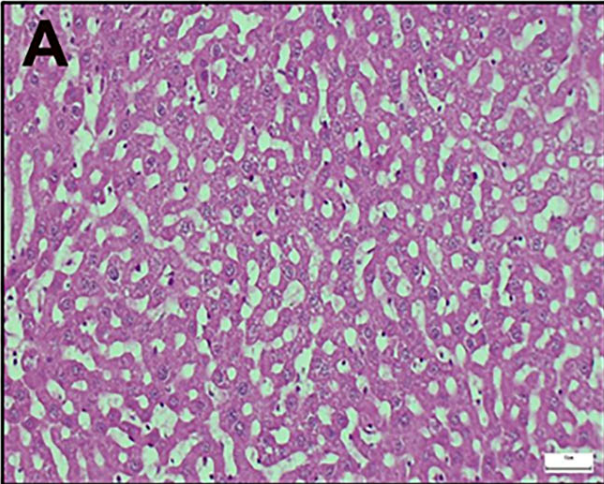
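Normal liver tissue made of hepatocytes arranged in anastomosing cords. Pale sinusoidal spaces separate the cords. The hepatocytes are polygonal, with pink, finely granular cytoplasm and round nuclei, many with a visible nucleolus. The arrangement is regular across the field, with no clusters of inflammatory cells.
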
